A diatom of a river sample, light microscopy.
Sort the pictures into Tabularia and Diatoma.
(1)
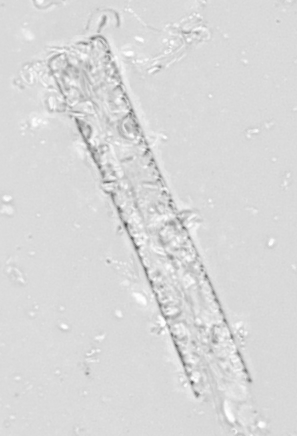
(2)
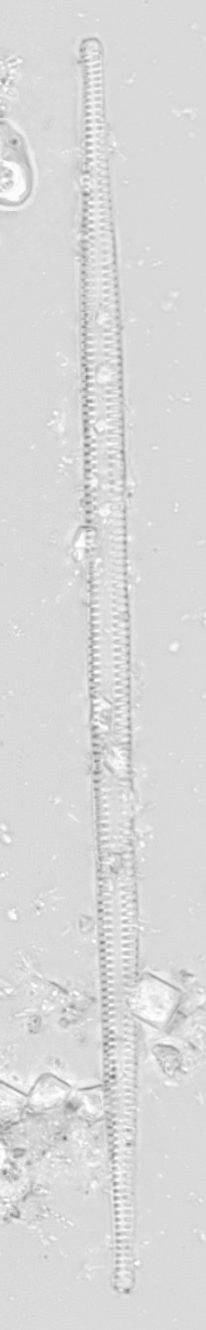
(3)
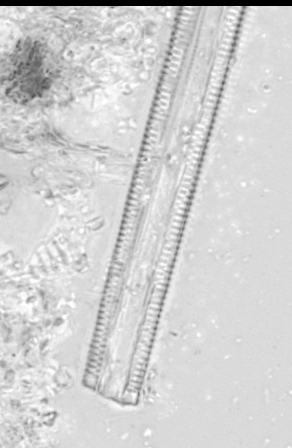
Diatoma: 1
Tabularia: 2, 3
